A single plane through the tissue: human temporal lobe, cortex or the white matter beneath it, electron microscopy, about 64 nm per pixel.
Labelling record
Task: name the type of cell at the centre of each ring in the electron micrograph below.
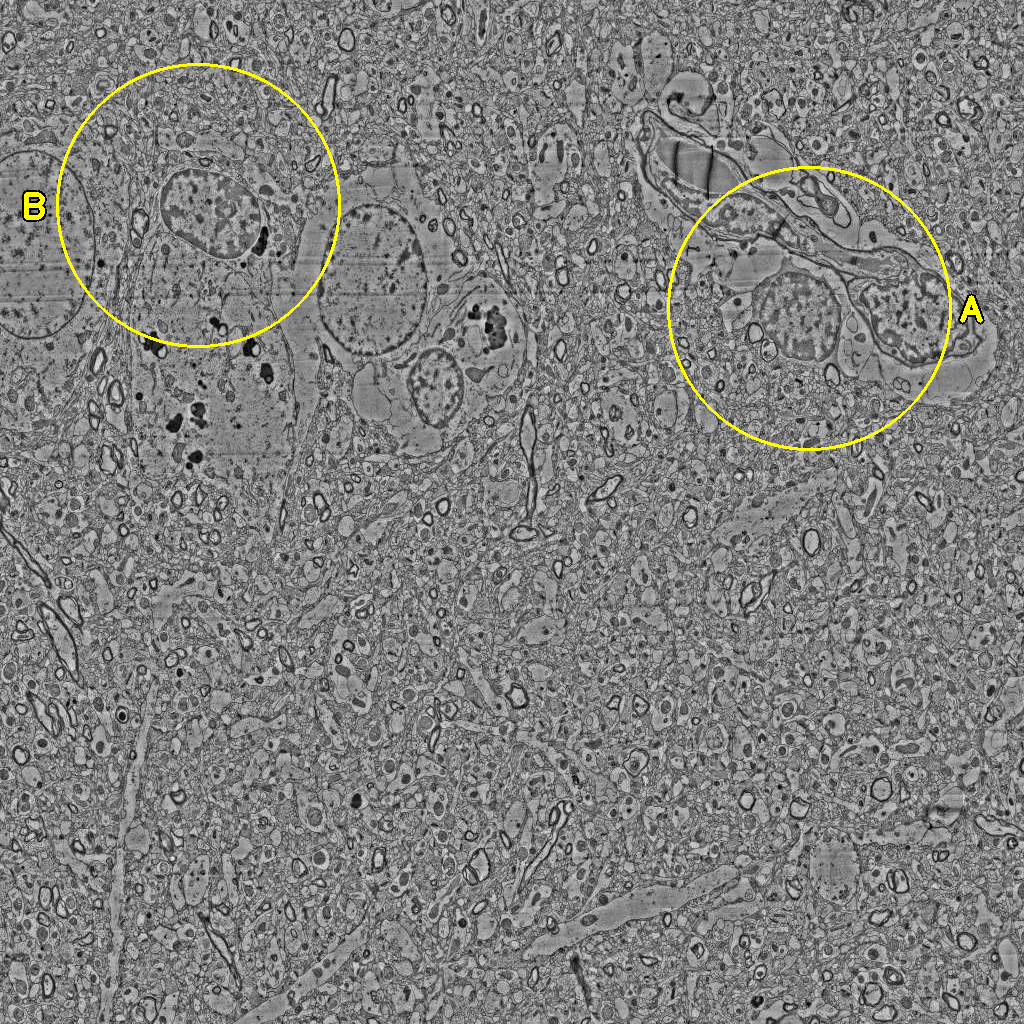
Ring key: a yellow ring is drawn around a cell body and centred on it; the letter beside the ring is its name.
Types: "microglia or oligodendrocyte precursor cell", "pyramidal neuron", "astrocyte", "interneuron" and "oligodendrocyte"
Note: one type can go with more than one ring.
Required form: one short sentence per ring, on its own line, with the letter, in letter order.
In ring A, the centred cell is an oligodendrocyte.
In ring B, the centred cell is a microglial cell or oligodendrocyte precursor cell.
